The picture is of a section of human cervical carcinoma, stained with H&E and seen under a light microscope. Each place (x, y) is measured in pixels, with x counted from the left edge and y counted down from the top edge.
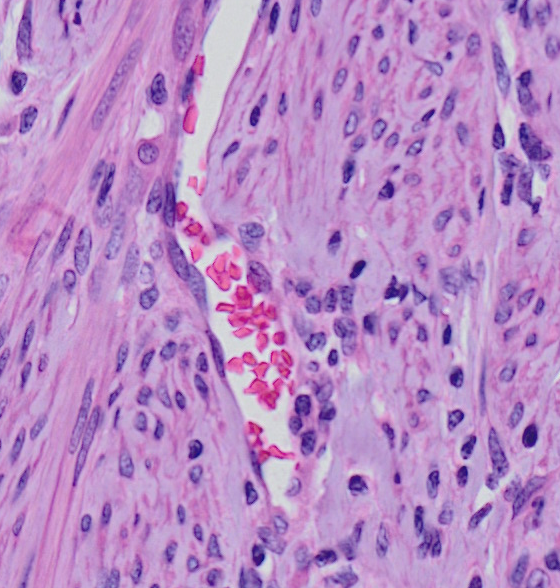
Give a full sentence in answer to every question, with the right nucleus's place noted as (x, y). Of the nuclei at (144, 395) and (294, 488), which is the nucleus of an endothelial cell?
The nucleus lying at (294, 488) is the nucleus of an endothelial cell.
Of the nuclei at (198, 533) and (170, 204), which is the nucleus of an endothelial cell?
Of the two, the nucleus lying at (170, 204) is the one belonging to an endothelial cell.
